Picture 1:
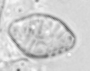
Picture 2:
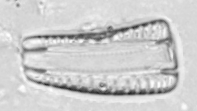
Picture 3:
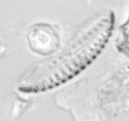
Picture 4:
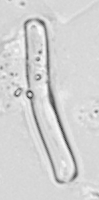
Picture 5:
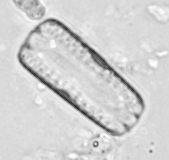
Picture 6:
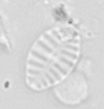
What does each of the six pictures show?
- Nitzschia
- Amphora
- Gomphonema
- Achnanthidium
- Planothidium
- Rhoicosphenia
(1) Planothidium
(2) Rhoicosphenia
(3) Amphora
(4) Achnanthidium
(5) Gomphonema
(6) Planothidium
